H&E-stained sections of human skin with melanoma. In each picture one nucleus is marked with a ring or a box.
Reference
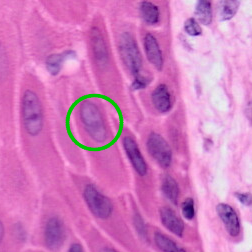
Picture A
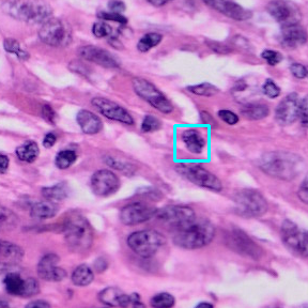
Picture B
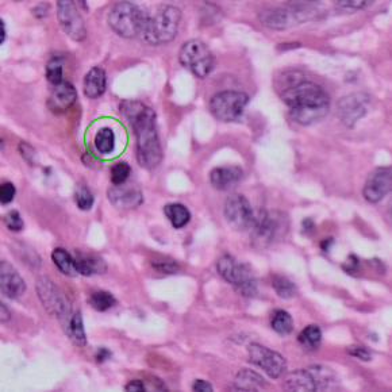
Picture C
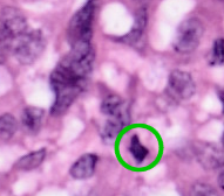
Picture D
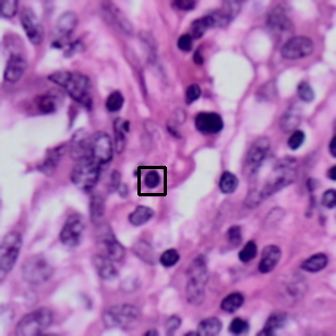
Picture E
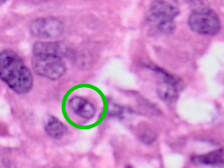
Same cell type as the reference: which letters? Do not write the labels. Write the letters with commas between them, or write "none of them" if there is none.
none of them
